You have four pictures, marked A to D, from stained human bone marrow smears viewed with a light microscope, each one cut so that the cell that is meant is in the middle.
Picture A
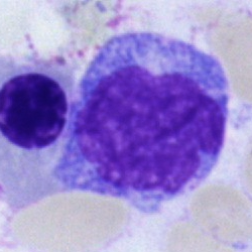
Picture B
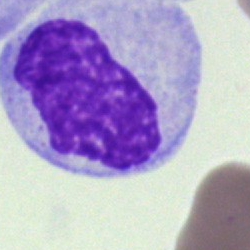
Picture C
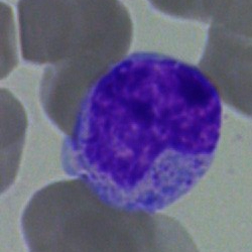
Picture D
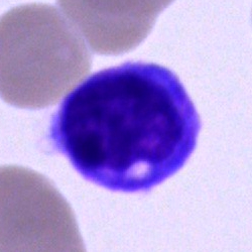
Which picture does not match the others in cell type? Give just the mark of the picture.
C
